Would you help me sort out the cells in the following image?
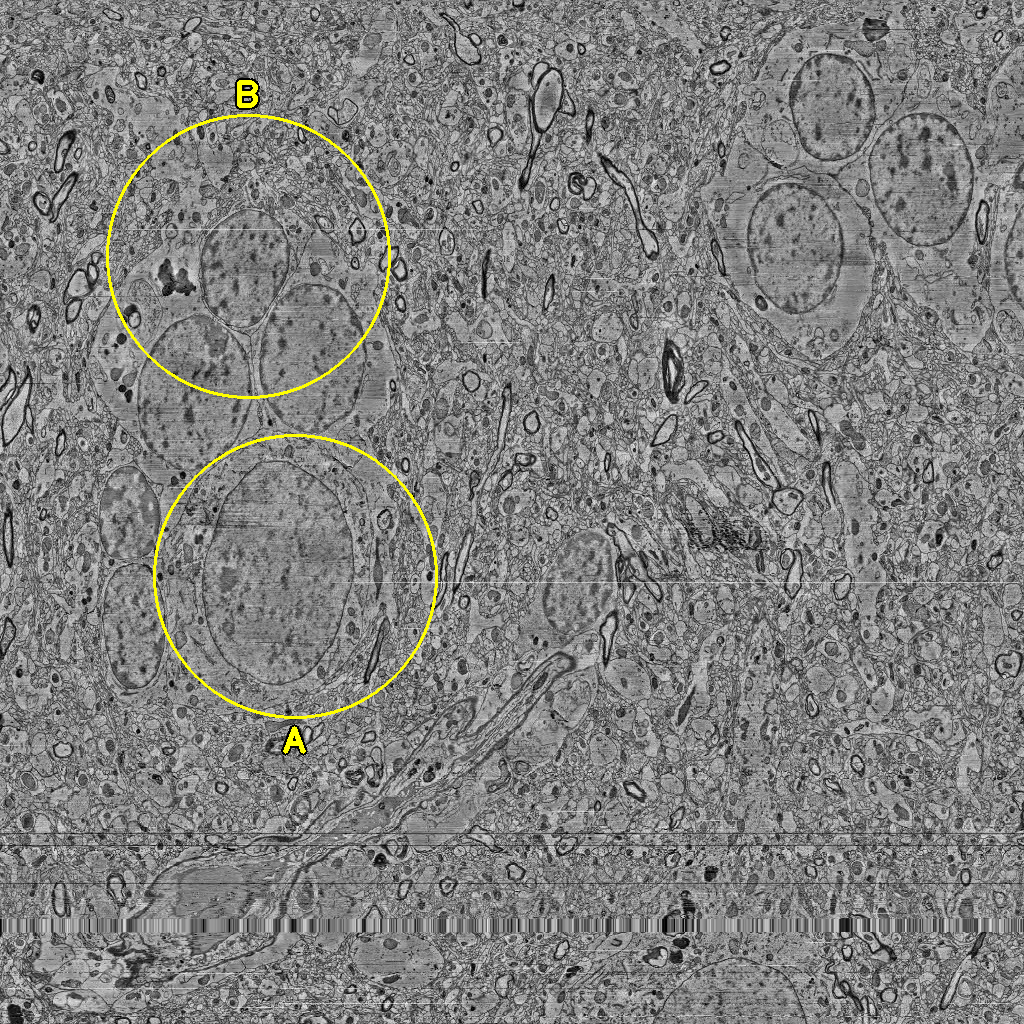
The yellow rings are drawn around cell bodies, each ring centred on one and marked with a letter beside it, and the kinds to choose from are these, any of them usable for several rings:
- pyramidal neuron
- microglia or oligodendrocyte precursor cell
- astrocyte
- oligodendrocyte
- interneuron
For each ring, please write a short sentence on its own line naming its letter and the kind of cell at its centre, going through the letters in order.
Ring A is centred on the cell body of a pyramidal neuron.
Ring B is centred on the cell body of a microglial cell or oligodendrocyte precursor cell.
